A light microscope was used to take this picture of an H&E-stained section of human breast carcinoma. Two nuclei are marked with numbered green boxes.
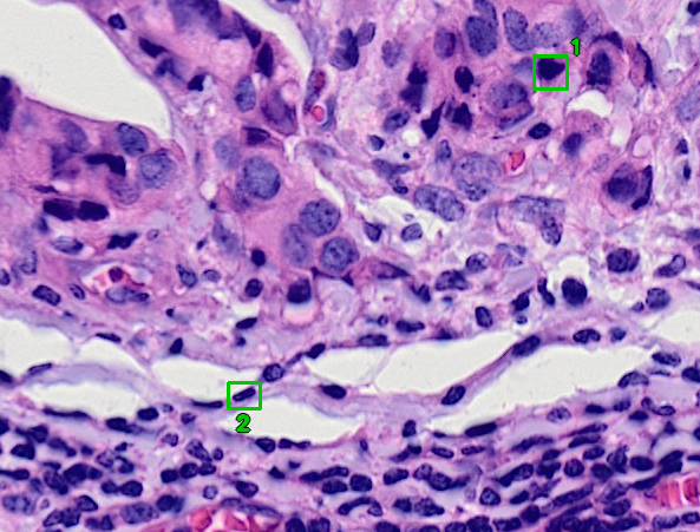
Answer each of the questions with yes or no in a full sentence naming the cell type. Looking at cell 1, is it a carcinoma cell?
Yes. The cell carrying number 1 is a carcinoma cell.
